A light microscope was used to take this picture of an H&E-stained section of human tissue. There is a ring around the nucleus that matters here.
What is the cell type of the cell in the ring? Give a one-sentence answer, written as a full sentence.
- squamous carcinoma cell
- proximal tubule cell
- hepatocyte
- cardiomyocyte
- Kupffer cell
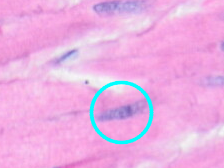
It is as a cardiomyocyte that the cell in the ring is recorded.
